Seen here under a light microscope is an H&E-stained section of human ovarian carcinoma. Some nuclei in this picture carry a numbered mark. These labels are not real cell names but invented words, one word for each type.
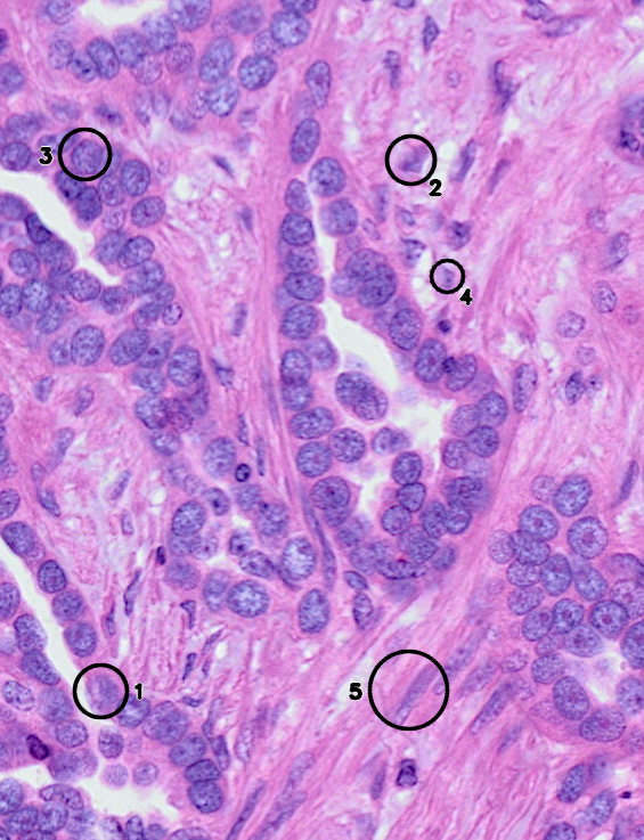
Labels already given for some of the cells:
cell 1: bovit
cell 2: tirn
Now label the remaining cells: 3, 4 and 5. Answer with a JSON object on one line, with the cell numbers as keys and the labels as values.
{"3": "bovit", "4": "tirn", "5": "tirn"}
